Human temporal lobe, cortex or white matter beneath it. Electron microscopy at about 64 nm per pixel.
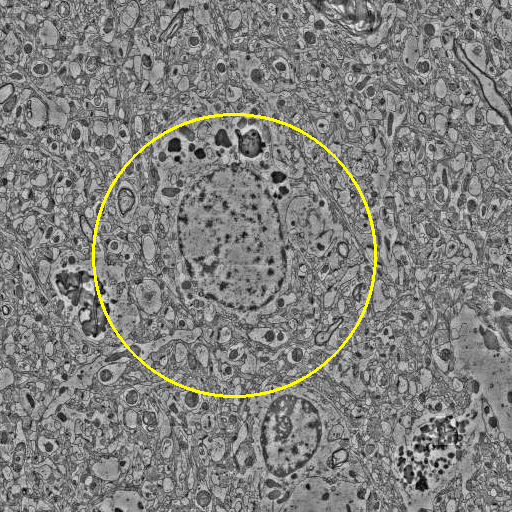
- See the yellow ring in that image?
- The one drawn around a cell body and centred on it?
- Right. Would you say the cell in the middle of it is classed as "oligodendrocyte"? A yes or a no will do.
no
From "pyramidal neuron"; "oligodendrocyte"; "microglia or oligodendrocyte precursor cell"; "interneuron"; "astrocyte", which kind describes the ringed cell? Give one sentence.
The ring holds an astrocyte at its centre.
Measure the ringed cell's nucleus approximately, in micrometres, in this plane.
Approximately 9 by 7 micrometers in this plane.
